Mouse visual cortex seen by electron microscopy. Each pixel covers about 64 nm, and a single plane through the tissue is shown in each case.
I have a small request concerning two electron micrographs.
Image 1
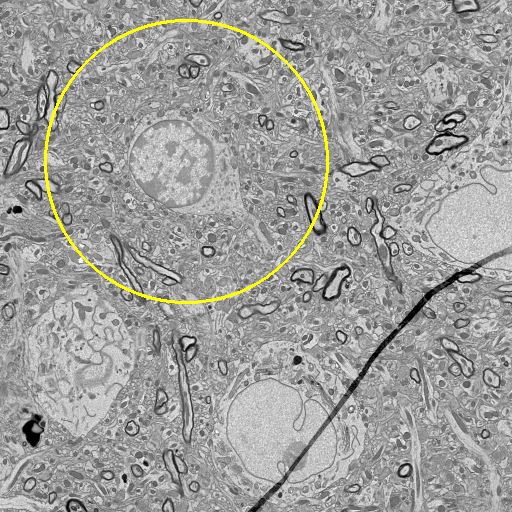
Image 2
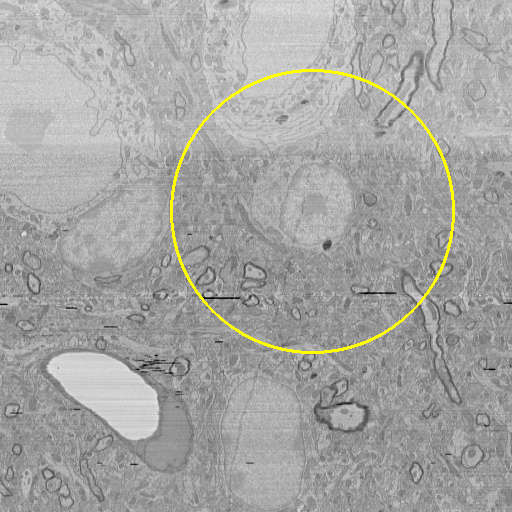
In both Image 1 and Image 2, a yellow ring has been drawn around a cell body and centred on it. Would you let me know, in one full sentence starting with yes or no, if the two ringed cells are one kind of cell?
Yes, the cells ringed in Image 1 and Image 2 are one kind of cell.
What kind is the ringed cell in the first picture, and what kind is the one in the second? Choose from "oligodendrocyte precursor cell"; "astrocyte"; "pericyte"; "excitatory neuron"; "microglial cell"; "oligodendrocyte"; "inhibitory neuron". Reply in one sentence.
Both rings mark an oligodendrocyte, one in each picture.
